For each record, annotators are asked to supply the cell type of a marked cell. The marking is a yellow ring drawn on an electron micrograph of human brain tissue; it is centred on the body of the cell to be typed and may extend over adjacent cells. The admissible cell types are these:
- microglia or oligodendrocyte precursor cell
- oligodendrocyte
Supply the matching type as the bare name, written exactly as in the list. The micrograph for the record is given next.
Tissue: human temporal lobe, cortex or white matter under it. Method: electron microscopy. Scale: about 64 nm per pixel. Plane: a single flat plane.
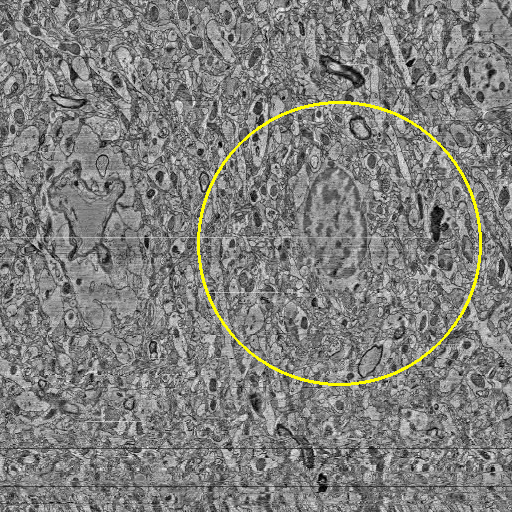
oligodendrocyte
